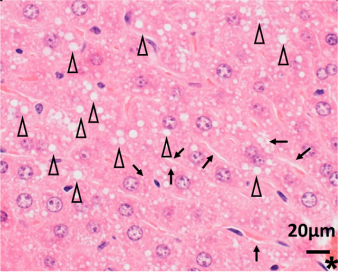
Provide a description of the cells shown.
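Polygonal cells with round central nuclei and prominent nucleoli form plates in pink cytoplasm, and many round, clear vacuoles of different sizes are scattered through that cytoplasm. Small, dark, elongated nuclei lie between the plates along the narrow sinusoidal spaces. This is liver tissue of hepatocytes showing marked vacuolation.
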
